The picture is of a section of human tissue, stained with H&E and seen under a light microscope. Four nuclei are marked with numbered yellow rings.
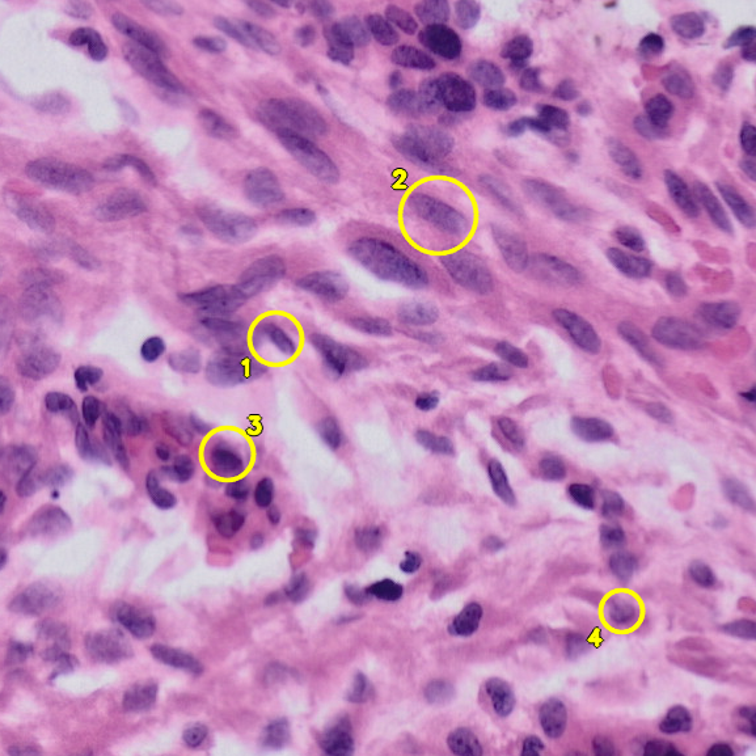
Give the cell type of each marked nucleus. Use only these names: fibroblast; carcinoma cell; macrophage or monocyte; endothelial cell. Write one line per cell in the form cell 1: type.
cell 1: fibroblast
cell 2: fibroblast
cell 3: endothelial cell
cell 4: fibroblast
